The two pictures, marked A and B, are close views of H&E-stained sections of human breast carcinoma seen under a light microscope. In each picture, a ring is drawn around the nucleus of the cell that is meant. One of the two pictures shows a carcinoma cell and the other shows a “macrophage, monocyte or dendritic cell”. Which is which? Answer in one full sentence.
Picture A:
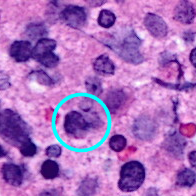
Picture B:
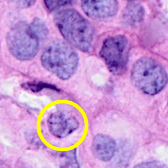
In picture A the cell is a carcinoma cell; in picture B, a “macrophage, monocyte or dendritic cell”.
